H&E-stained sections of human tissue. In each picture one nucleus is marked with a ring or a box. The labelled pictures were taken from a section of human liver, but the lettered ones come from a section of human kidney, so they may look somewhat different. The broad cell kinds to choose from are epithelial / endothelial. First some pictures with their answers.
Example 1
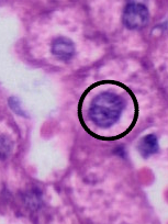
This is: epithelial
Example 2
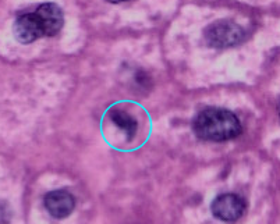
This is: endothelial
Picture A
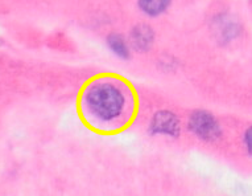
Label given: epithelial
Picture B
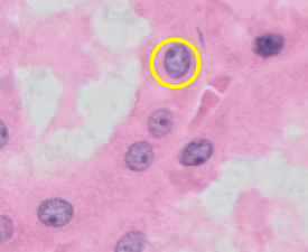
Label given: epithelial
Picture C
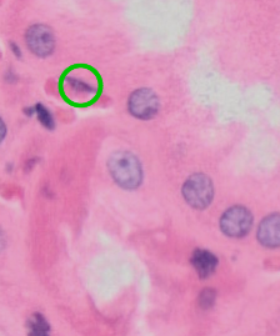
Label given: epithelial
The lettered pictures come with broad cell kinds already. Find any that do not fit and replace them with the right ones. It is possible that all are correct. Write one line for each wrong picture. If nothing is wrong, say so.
C: endothelial, not epithelial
